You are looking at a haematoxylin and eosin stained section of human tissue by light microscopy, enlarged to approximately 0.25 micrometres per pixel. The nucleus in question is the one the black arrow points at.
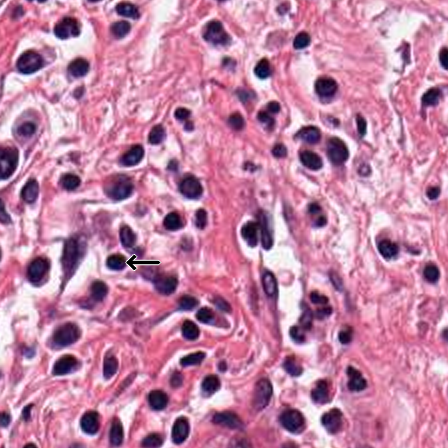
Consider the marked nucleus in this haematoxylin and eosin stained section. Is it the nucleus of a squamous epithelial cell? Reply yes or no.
no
